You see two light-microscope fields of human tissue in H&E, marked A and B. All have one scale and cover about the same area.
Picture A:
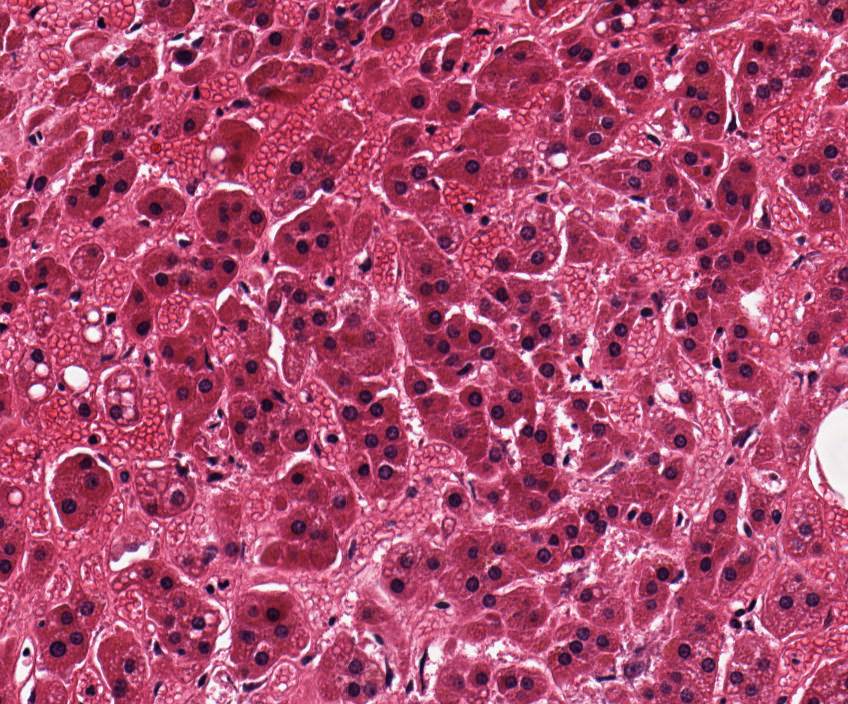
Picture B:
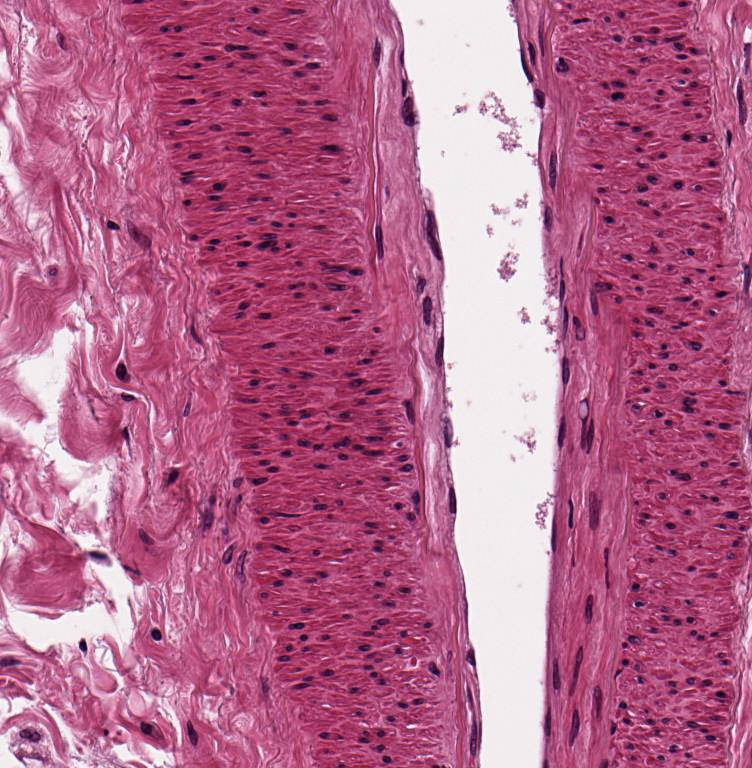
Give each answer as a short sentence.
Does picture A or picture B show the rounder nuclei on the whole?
It is picture A whose nuclei are the rounder.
